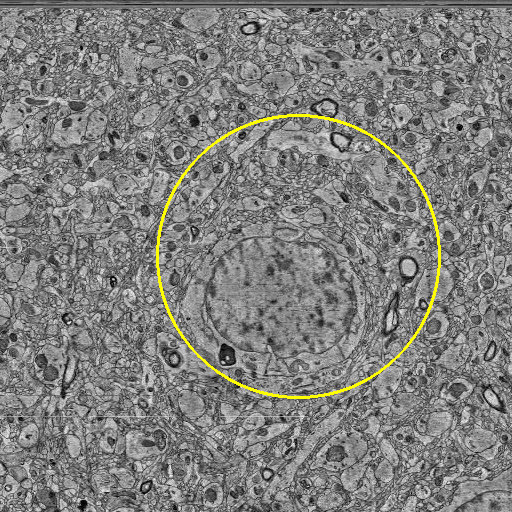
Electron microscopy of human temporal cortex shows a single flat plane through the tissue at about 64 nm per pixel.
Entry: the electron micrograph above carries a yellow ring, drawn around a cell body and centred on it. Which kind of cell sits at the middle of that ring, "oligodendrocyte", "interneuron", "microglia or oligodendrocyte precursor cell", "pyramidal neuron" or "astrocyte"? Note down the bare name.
interneuron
